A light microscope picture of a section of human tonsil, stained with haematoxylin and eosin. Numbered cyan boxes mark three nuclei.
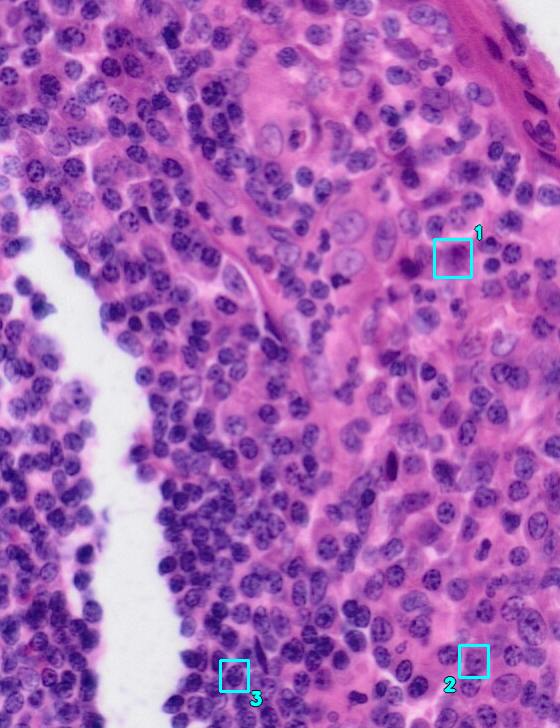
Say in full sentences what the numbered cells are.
Cell 1 is a squamous epithelial cell. Cell 2 is a plasma cell. Cell 3 is a small lymphocyte.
